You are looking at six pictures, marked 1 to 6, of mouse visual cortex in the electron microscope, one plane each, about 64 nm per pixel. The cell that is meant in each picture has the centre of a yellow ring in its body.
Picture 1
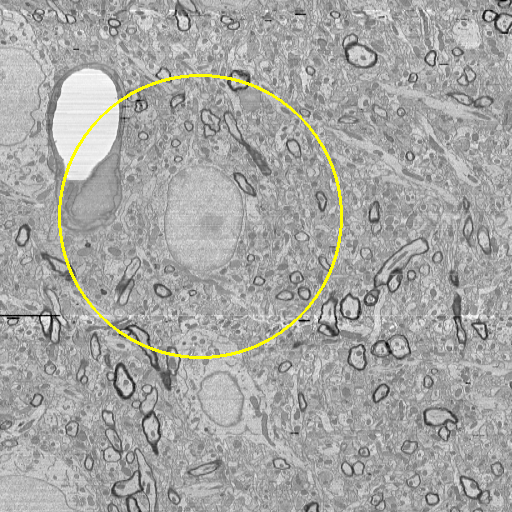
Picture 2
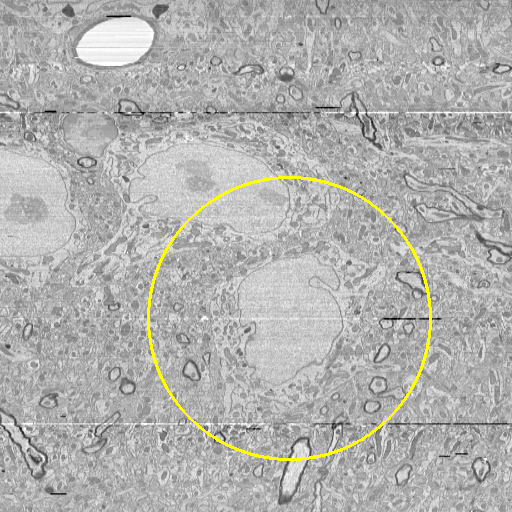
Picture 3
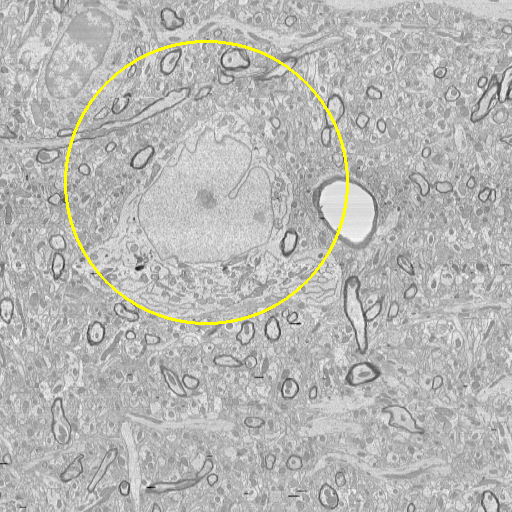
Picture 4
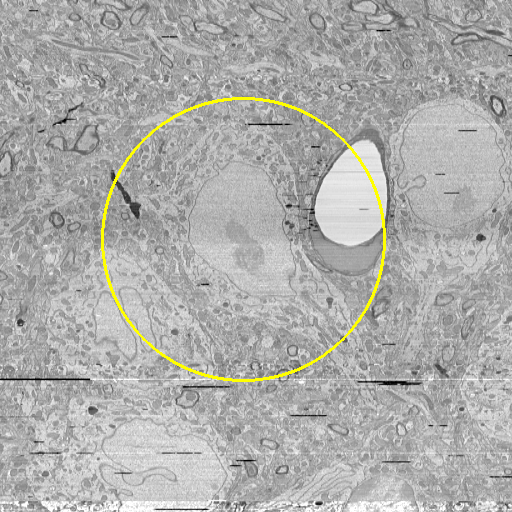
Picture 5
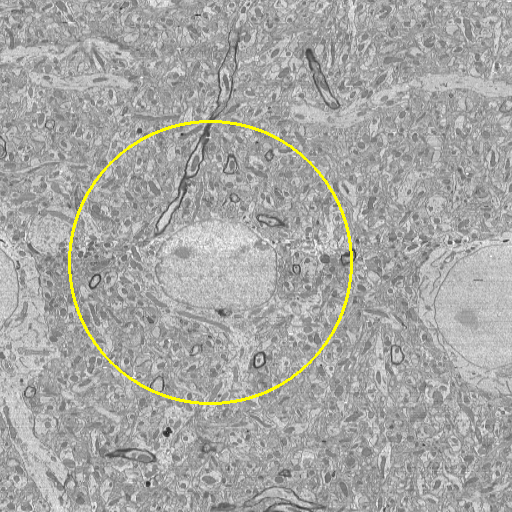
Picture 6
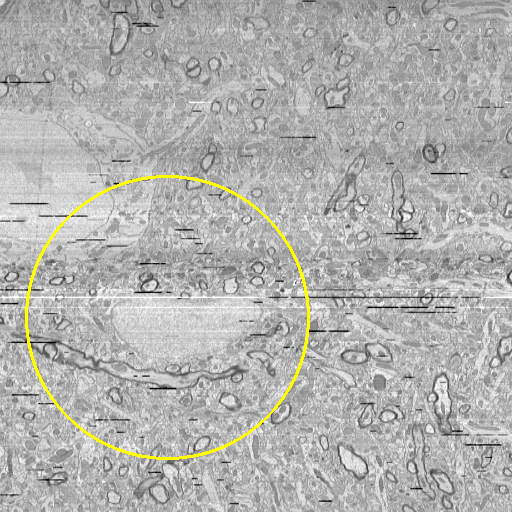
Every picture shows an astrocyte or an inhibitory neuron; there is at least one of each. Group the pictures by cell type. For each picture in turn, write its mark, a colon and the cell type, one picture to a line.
1: astrocyte
2: inhibitory neuron
3: inhibitory neuron
4: inhibitory neuron
5: astrocyte
6: astrocyte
